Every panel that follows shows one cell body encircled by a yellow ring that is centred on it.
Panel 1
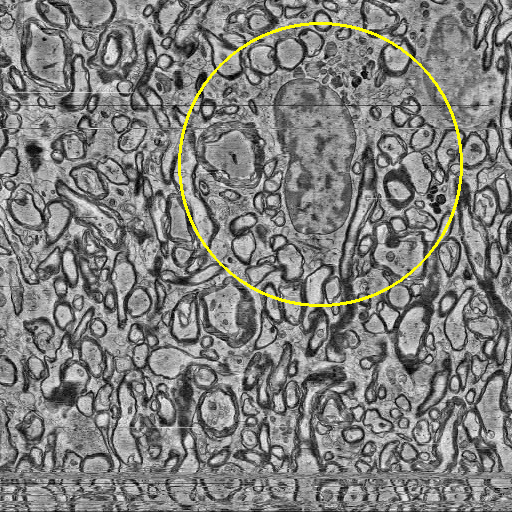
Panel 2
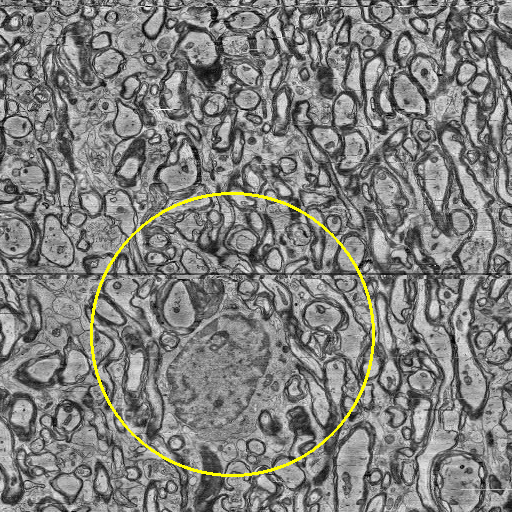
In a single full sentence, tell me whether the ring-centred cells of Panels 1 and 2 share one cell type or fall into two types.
In Panel 1 and Panel 2, the cells at the ring centres fall into two types.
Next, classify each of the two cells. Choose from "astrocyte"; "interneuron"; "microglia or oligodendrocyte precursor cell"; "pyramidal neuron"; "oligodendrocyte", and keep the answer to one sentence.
In the first picture it is a microglial cell or oligodendrocyte precursor cell; in the second it is an oligodendrocyte.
